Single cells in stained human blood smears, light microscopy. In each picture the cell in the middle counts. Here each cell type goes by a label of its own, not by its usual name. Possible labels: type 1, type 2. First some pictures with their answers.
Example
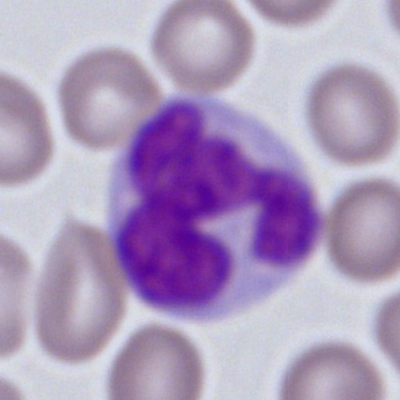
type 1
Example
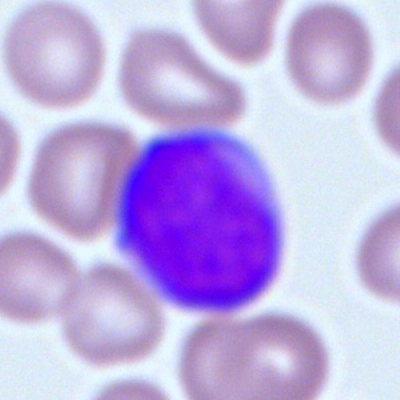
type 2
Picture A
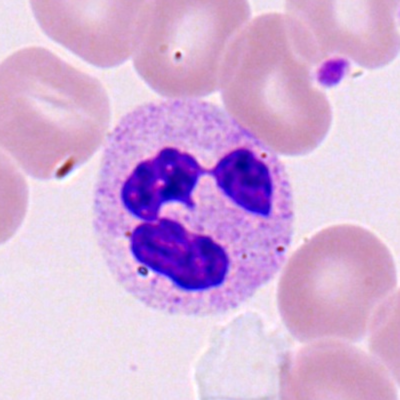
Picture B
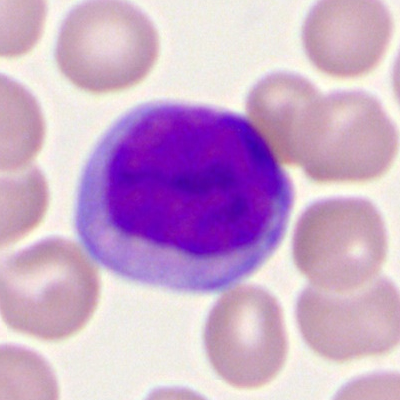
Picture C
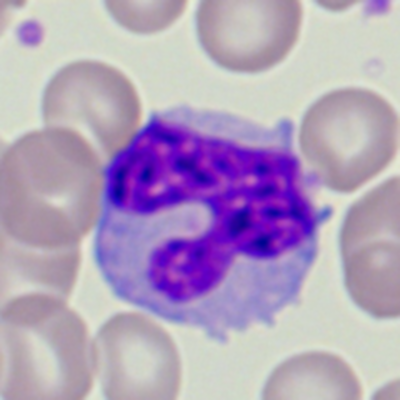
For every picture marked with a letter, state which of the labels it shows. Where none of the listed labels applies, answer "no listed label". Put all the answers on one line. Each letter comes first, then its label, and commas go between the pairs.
A no listed label, B type 2, C type 1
